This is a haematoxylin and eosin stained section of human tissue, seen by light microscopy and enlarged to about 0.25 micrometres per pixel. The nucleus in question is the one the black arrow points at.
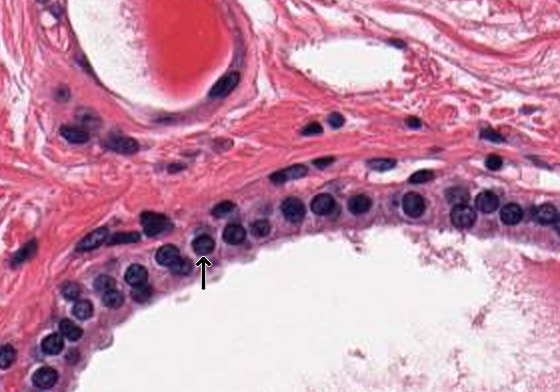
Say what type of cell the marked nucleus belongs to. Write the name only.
thyroid follicular cell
